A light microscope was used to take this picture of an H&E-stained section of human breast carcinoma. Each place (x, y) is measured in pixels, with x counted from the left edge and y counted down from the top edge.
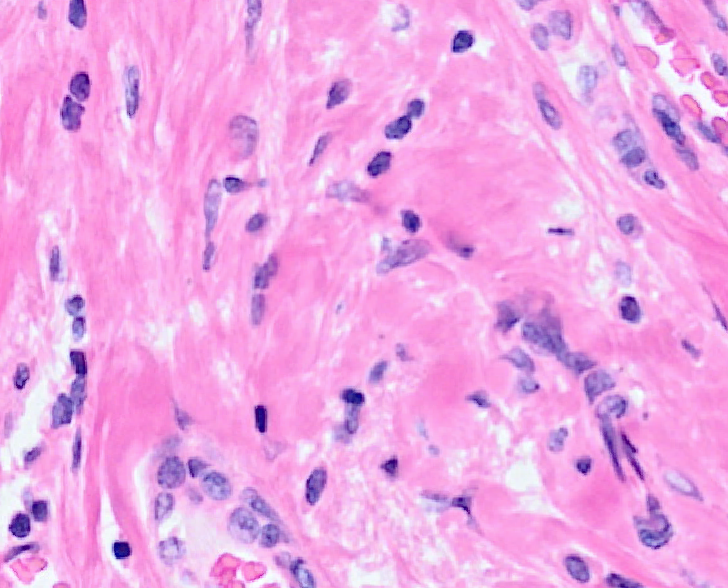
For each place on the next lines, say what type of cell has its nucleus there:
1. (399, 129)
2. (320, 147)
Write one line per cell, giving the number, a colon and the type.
1: lymphocyte
2: fibroblast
